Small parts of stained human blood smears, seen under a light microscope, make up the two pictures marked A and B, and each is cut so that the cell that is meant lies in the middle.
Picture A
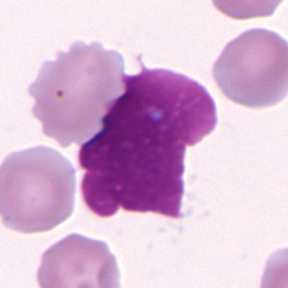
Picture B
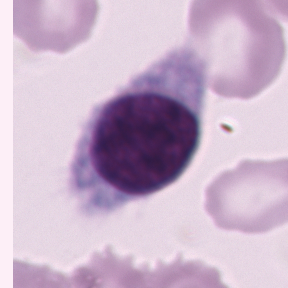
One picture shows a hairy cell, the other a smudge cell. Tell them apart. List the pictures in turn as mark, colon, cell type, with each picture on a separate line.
A: smudge cell
B: hairy cell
